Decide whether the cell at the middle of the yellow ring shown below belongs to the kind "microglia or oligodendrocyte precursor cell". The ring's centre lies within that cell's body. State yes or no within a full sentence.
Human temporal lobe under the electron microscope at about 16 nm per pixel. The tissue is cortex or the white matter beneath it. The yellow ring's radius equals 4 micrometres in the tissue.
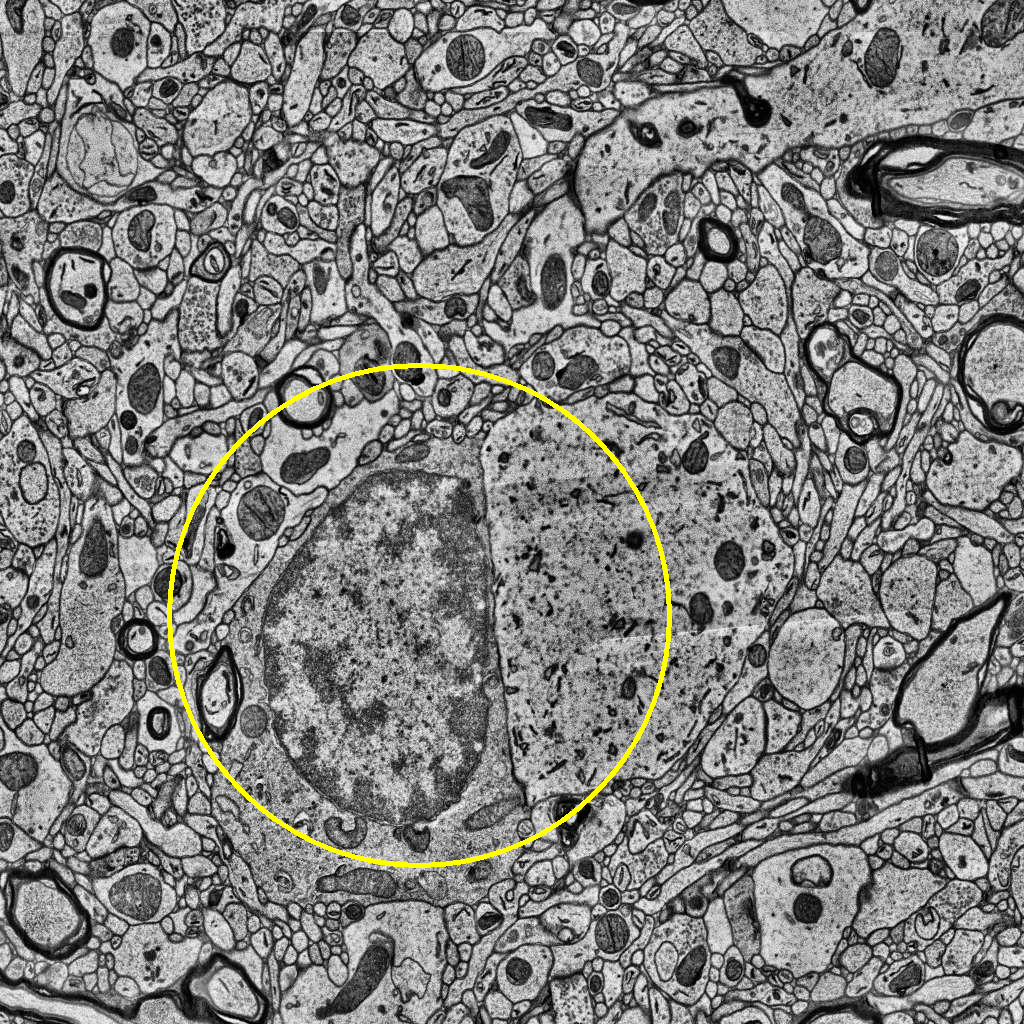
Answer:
No, the cell whose body lies at the ring's centre in the picture belongs to a different kind.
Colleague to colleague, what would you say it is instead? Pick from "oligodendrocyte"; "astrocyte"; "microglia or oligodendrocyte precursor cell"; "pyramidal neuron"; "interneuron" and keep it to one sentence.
This picture has an oligodendrocyte at the centre of its ring.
